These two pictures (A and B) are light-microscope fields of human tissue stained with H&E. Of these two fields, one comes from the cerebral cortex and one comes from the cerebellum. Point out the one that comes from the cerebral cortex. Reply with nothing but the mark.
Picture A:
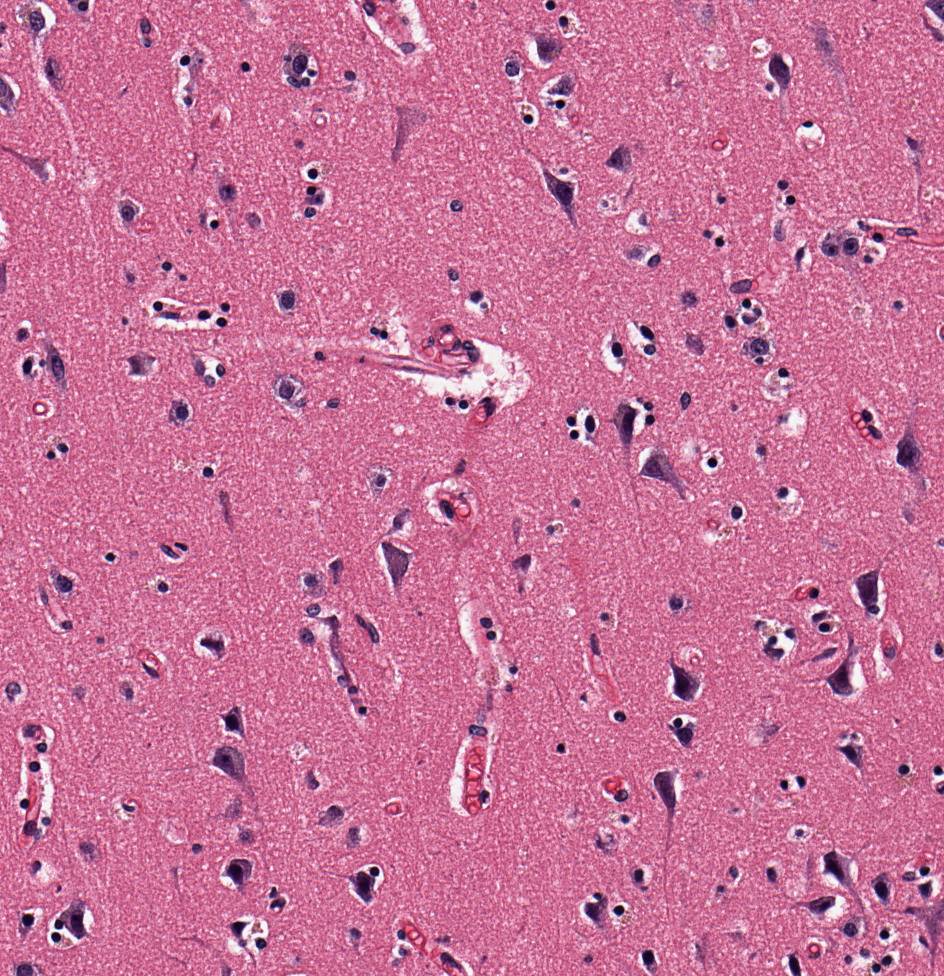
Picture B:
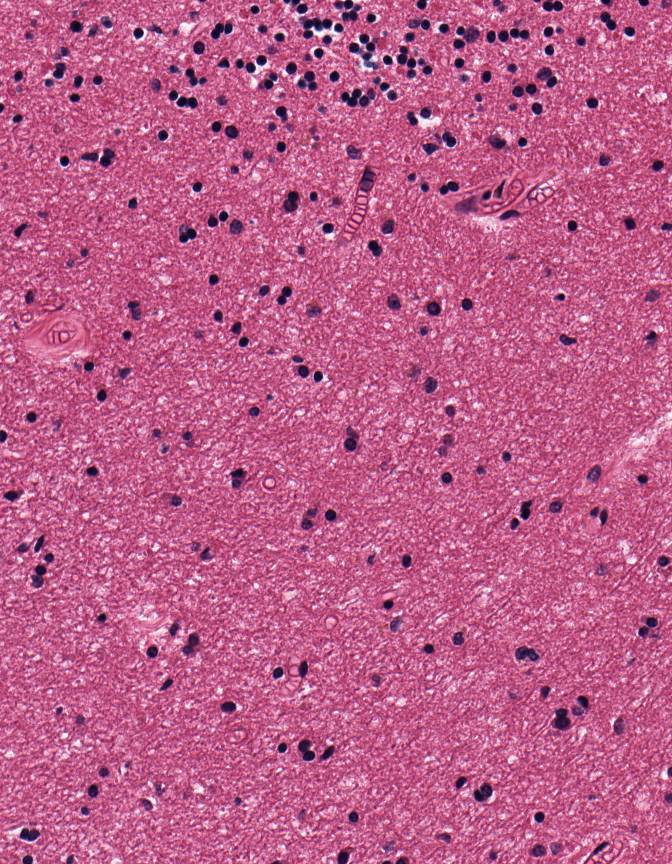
A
